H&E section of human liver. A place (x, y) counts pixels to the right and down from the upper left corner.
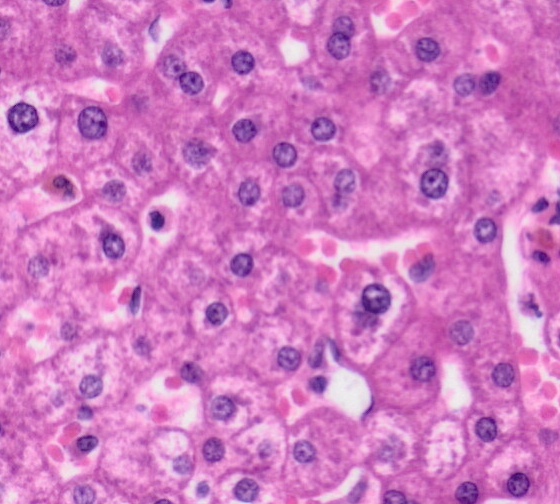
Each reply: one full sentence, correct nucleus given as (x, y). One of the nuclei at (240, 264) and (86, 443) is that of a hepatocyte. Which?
Located at (240, 264), this nucleus is the one belonging to a hepatocyte.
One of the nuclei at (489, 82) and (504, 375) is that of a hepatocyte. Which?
It is at (504, 375) that the nucleus of a hepatocyte is found.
